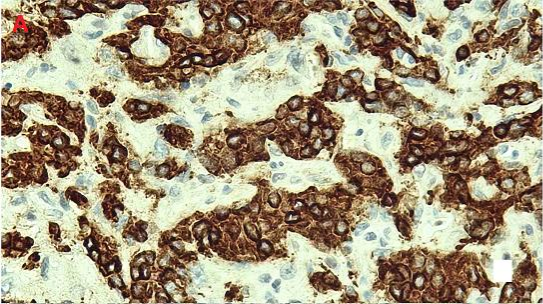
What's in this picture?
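The polygonal tumor cells carry intense, diffuse brown staining of their cytoplasm and cell borders, against which their round to oval nuclei stand out. The intervening stroma contains scattered unstained cells with small, elongated blue nuclei.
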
